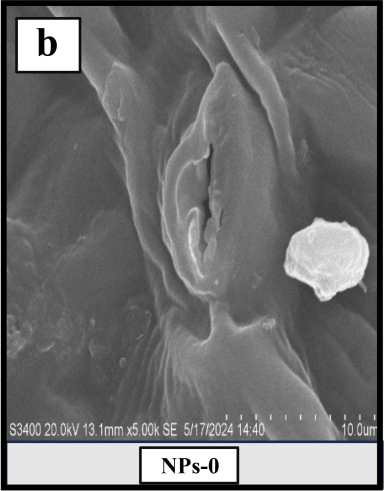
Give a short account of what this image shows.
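A single stoma is seen close up on the leaf epidermis: a raised pair of guard cells forms an oval lip, and between them lies only a narrow, ragged slit rather than an open gap. The guard cells look somewhat wrinkled and folded, and the surrounding epidermal cell surfaces are smooth with fine creases running toward the stoma. A bright rounded particle lies on the surface to the right. This is a stoma whose pore is closed or nearly so.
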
